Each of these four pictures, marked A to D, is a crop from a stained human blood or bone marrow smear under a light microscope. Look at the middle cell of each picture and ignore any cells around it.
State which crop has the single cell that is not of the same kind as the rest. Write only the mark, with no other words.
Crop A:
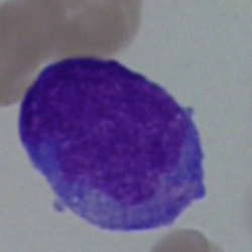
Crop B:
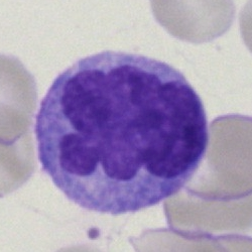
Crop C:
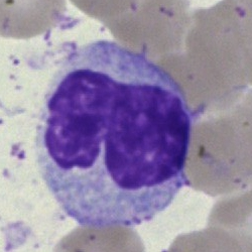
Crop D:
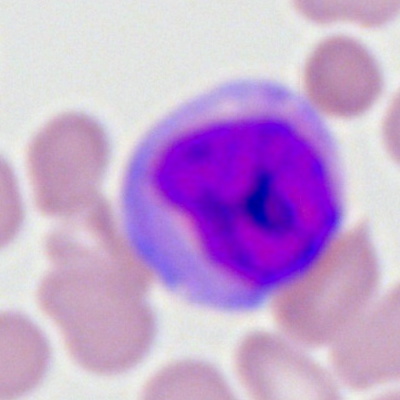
A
